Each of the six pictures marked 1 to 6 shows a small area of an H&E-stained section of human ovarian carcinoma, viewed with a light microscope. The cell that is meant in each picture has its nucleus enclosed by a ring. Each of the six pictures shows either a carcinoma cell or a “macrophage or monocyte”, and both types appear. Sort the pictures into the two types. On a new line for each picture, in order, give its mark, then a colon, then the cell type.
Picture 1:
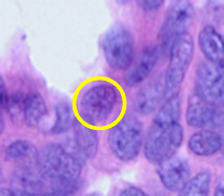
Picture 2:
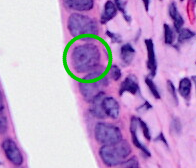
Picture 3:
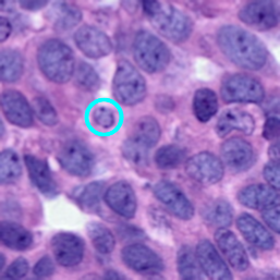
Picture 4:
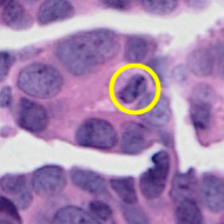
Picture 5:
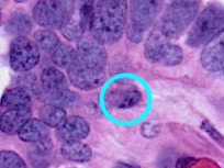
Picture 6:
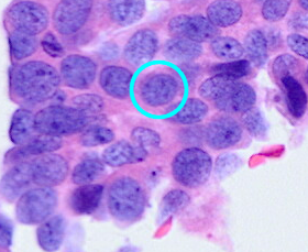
1: carcinoma cell
2: carcinoma cell
3: macrophage or monocyte
4: macrophage or monocyte
5: macrophage or monocyte
6: carcinoma cell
